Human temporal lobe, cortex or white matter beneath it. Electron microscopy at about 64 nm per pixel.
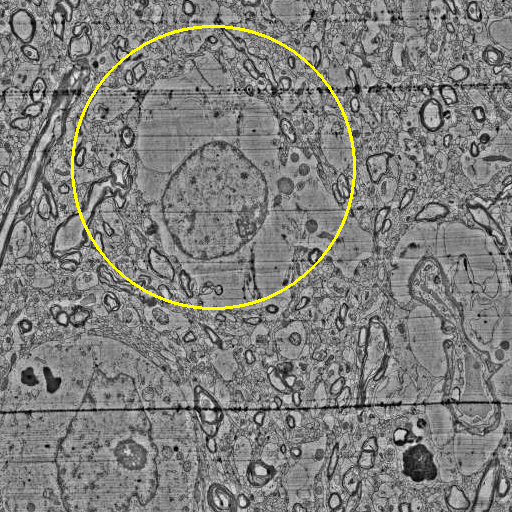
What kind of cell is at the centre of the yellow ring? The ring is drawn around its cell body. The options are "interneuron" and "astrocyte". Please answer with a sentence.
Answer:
The yellow ring marks the cell body of an astrocyte.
